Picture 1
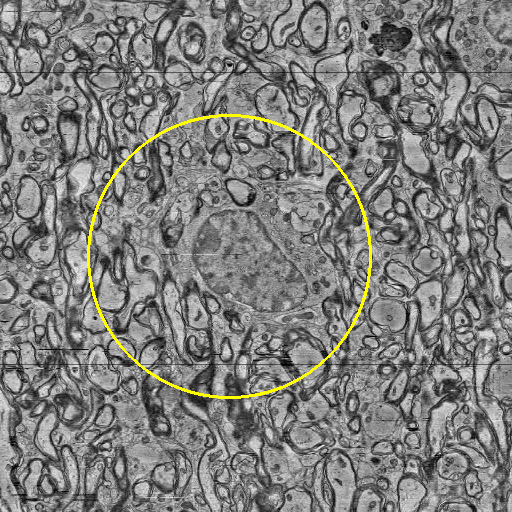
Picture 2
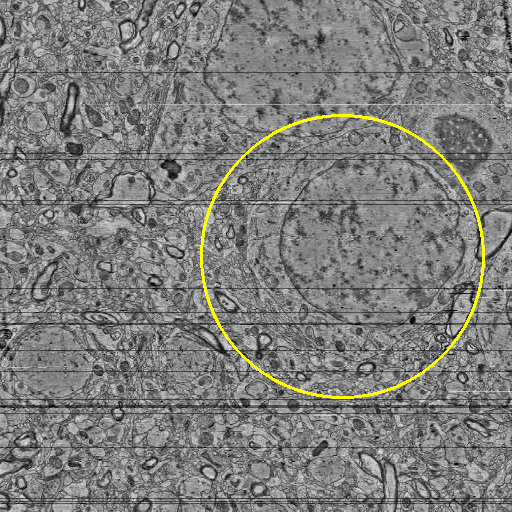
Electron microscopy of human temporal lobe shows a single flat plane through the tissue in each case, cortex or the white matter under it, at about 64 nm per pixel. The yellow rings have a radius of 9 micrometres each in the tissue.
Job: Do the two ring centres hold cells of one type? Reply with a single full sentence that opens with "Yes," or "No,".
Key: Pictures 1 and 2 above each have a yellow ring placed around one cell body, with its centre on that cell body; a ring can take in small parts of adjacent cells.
No, the cells at the two ring centres are of two separate types.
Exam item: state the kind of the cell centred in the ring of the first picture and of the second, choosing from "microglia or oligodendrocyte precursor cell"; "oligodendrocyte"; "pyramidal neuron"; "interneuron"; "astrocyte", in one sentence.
The first picture shows an oligodendrocyte at the ring centre and the second shows a pyramidal neuron.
